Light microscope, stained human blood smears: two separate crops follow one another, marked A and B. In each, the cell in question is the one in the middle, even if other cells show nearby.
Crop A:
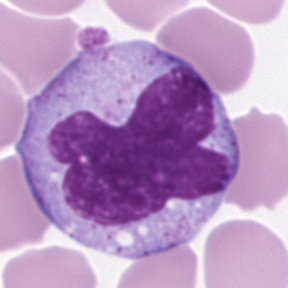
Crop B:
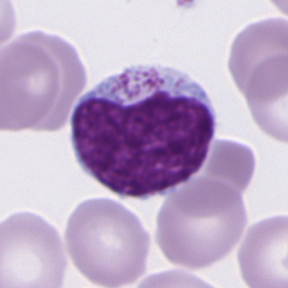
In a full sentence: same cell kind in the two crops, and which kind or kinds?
No, crop A corresponds to a monocyte, while crop B corresponds to a large granular lymphocyte.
